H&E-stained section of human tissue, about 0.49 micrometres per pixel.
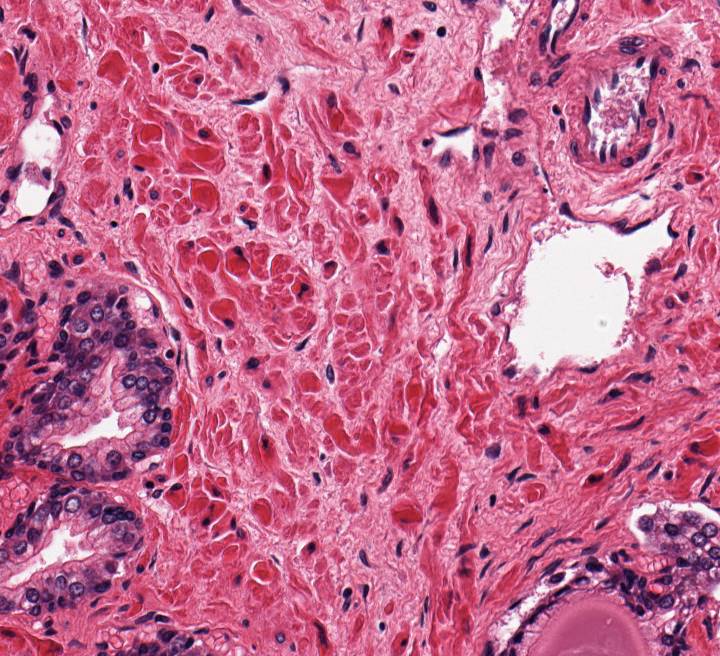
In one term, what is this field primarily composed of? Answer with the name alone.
fibromuscular stroma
